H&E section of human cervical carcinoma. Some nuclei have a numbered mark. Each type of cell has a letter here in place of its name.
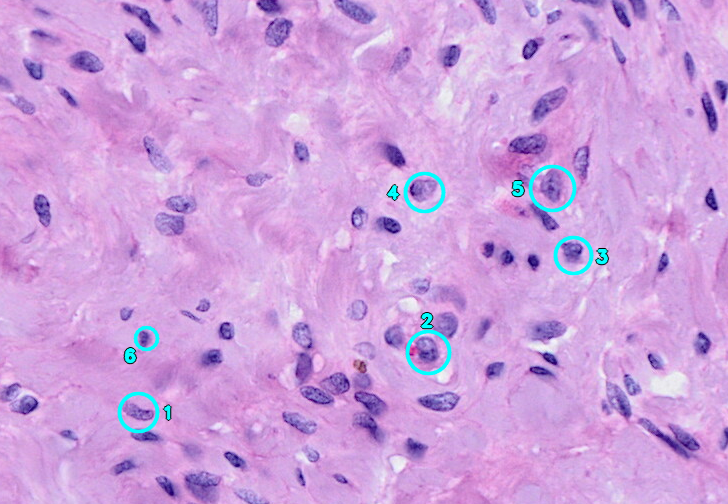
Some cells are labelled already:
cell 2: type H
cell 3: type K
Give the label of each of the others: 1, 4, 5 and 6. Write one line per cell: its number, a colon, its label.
1: type K
4: type K
5: type H
6: type K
